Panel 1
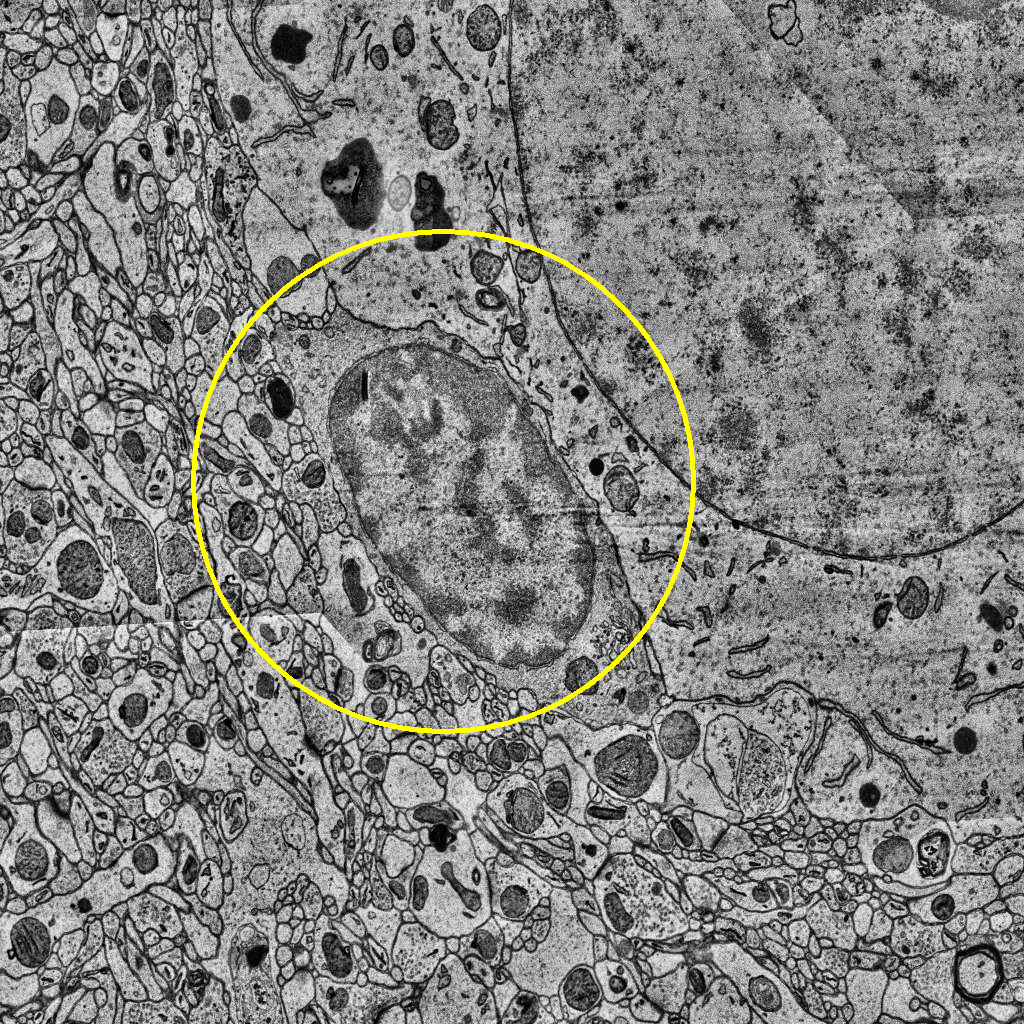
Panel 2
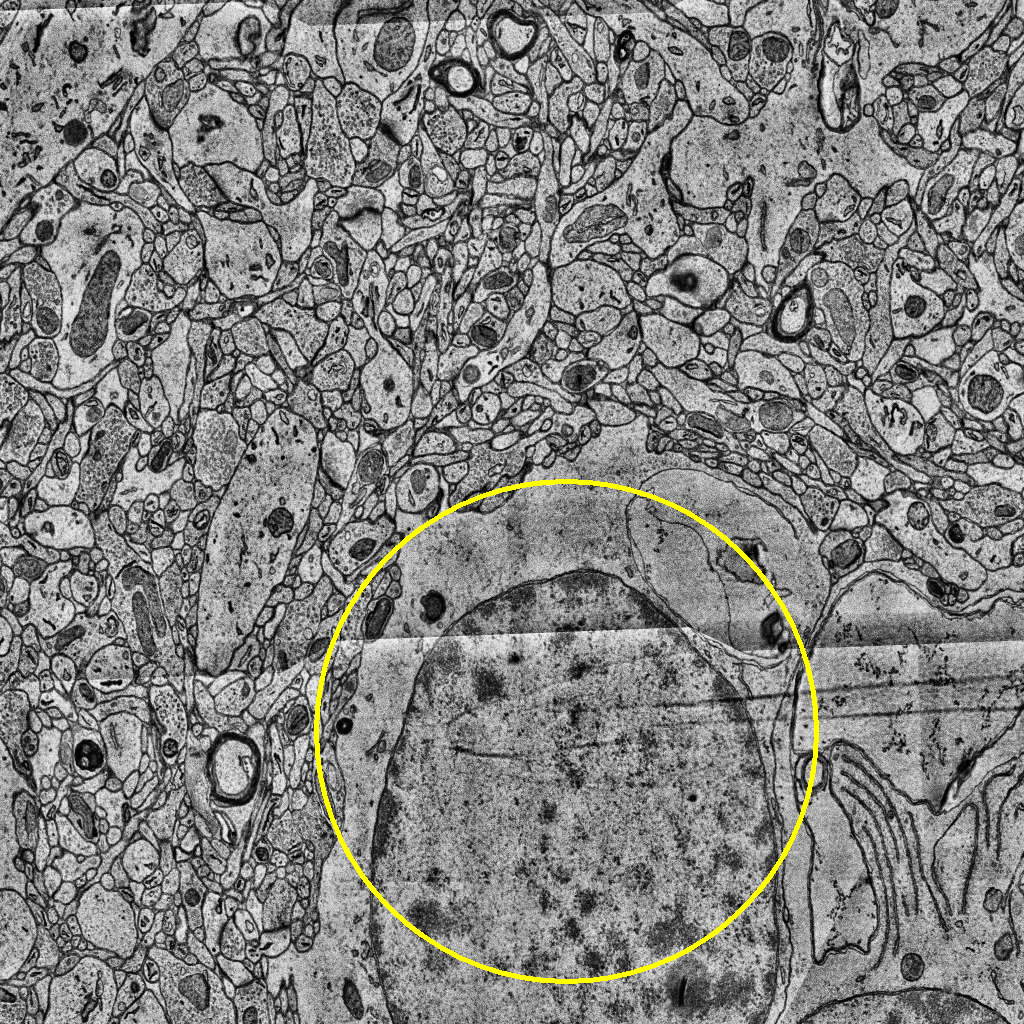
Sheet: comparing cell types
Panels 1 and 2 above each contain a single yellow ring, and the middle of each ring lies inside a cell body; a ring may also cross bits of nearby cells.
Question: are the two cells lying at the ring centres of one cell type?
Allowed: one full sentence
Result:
No, the cells at the ring centres in Panel 1 and Panel 2 are of two types.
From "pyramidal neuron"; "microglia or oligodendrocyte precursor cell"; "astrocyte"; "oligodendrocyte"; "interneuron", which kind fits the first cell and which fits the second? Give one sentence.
The cell at the centre of the ring is an oligodendrocyte in the first picture and an astrocyte in the second.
